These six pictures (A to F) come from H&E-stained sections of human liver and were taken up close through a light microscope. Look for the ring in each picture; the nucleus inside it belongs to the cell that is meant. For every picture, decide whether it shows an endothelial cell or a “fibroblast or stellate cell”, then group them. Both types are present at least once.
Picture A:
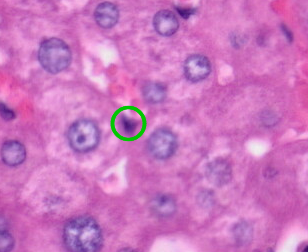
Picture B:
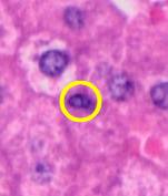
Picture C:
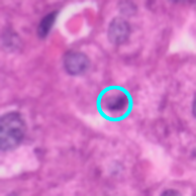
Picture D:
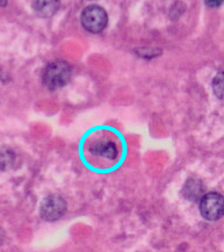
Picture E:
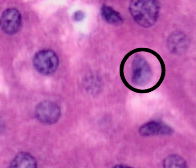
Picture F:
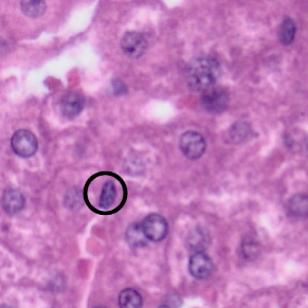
A: fibroblast or stellate cell
B: fibroblast or stellate cell
C: fibroblast or stellate cell
D: endothelial cell
E: endothelial cell
F: fibroblast or stellate cell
